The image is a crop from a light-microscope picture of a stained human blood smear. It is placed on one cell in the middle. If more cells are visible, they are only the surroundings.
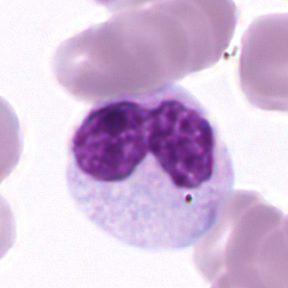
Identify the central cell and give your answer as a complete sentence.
The cell of interest, located centrally, is a band neutrophil.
